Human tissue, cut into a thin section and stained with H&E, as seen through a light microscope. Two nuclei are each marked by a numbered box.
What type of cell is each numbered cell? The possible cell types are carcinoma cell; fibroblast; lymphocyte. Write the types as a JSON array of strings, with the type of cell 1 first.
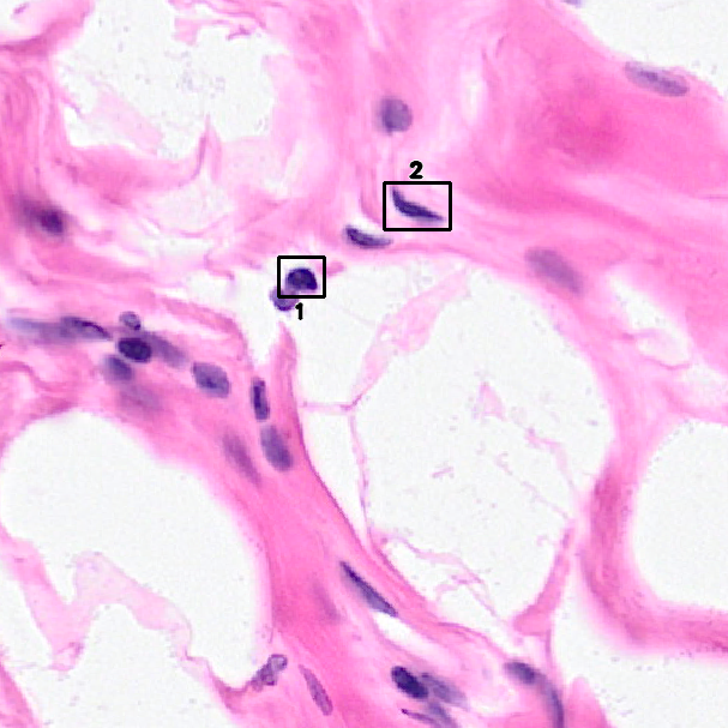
["lymphocyte", "fibroblast"]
